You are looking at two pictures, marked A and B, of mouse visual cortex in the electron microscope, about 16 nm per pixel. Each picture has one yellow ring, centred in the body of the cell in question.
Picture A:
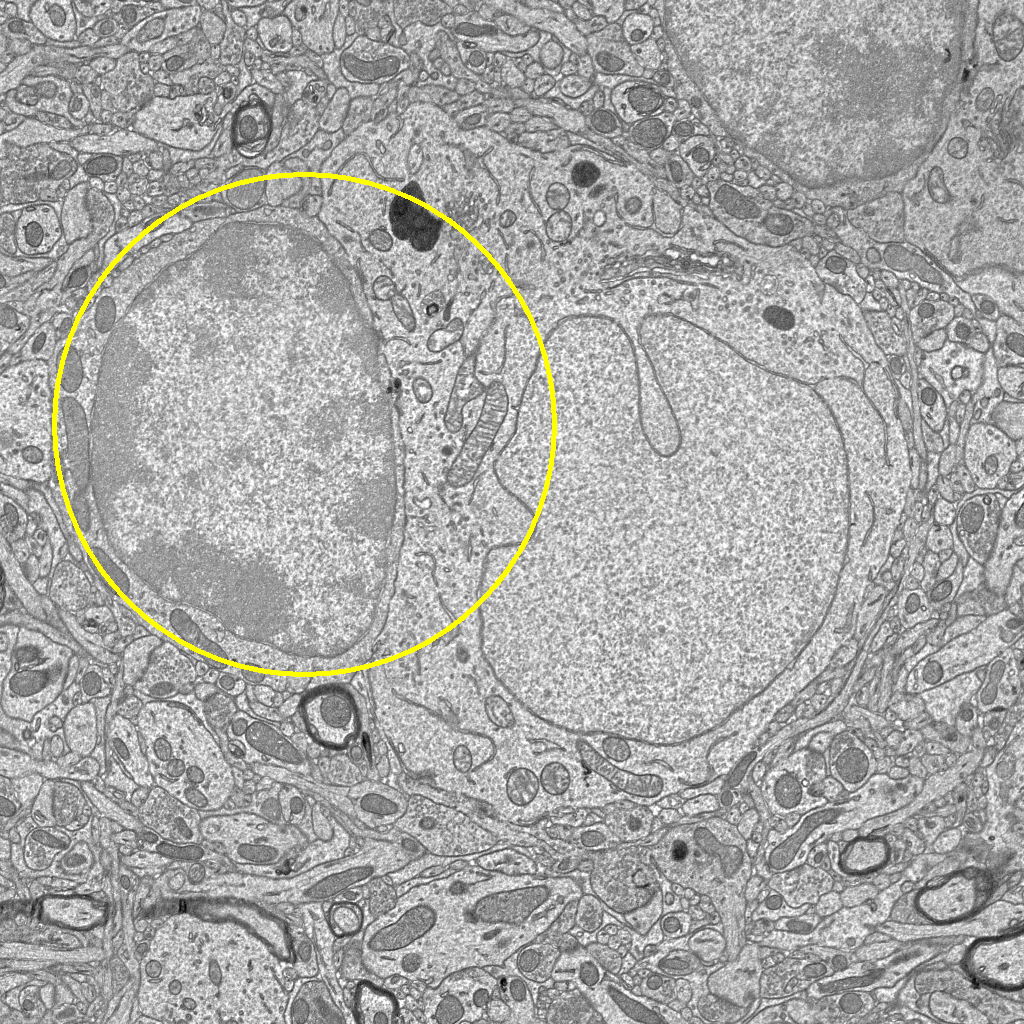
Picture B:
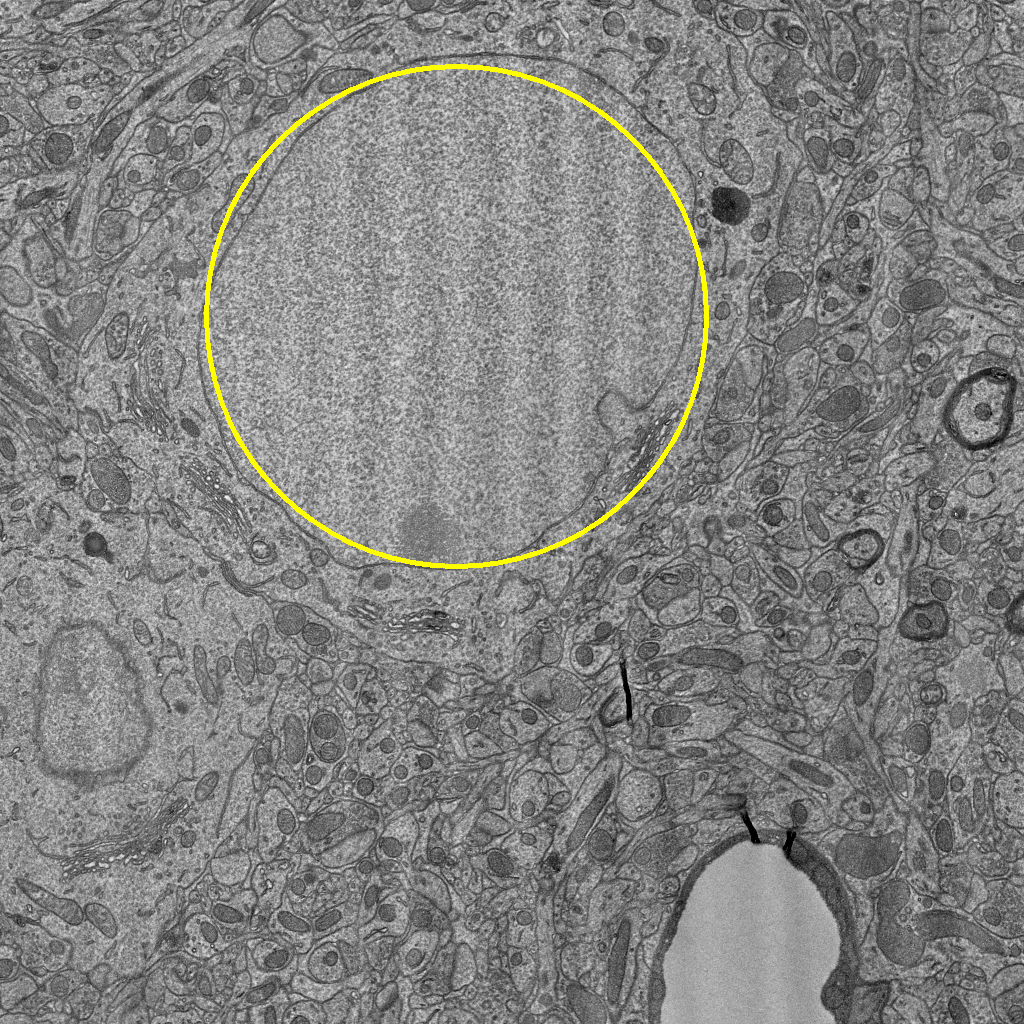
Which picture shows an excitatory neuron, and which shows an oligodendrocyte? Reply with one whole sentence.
It is picture A that shows an oligodendrocyte, and picture B that shows an excitatory neuron.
